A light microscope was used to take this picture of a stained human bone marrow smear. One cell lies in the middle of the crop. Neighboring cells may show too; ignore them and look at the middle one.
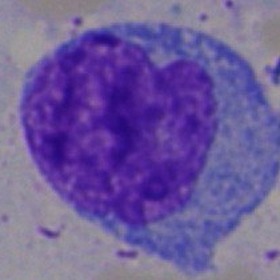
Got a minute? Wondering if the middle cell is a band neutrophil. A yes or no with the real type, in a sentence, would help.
No, it is a monocyte rather than a band neutrophil that the middle of the crop contains.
